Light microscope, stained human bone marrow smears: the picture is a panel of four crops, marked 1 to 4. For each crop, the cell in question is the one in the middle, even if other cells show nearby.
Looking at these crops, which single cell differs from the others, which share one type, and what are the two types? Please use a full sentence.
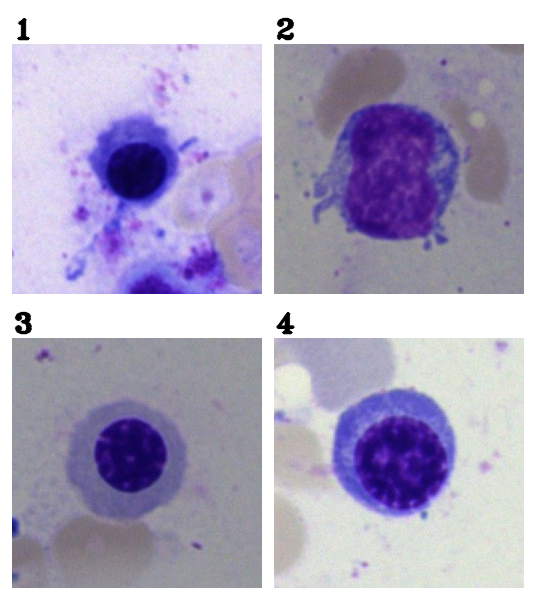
The single exception is crop 2, which is a blast; all other crops show erythroblasts.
